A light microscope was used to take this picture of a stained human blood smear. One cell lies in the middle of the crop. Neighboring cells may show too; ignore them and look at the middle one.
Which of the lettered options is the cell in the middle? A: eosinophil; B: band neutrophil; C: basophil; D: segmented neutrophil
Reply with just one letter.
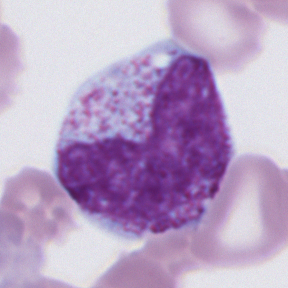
B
